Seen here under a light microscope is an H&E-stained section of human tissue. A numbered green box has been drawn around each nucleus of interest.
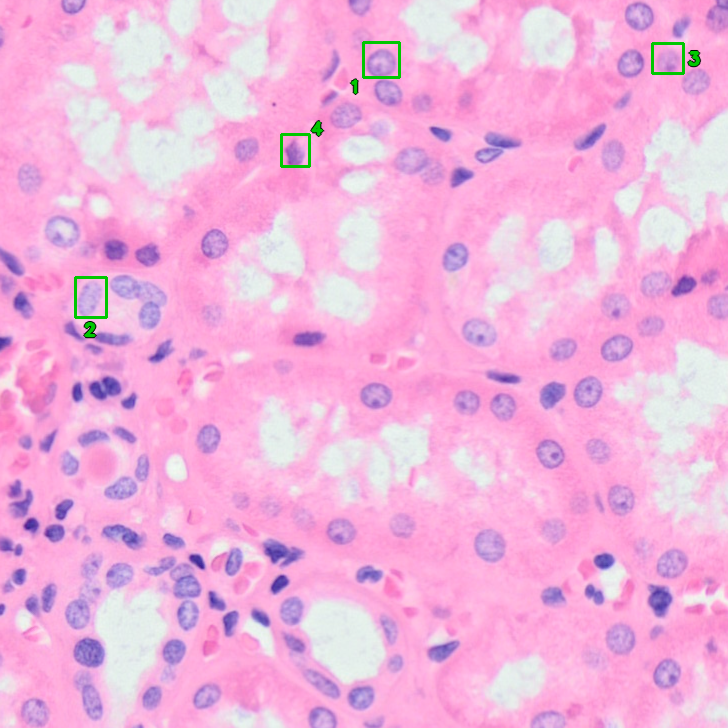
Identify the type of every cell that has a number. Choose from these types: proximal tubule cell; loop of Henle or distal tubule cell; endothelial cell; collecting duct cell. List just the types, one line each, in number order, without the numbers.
proximal tubule cell
collecting duct cell
proximal tubule cell
proximal tubule cell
